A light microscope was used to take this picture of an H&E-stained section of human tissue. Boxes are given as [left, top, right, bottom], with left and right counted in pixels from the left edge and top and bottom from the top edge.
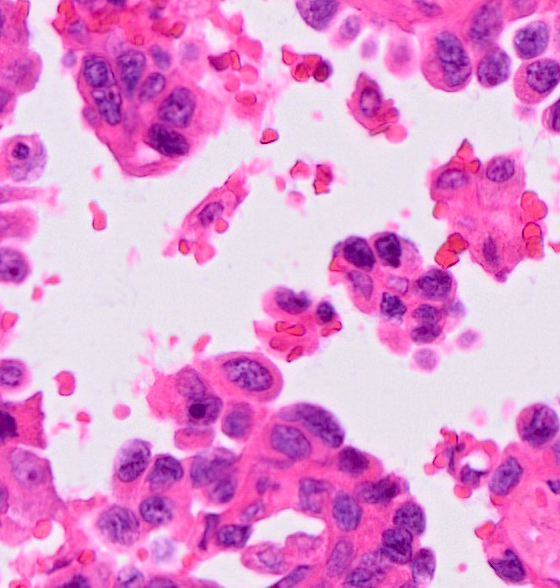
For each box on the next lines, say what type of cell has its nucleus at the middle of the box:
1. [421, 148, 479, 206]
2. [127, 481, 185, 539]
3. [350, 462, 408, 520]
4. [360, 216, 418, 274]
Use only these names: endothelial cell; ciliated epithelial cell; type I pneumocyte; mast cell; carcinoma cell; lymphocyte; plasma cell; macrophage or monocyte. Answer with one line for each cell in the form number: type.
1: macrophage or monocyte
2: carcinoma cell
3: carcinoma cell
4: carcinoma cell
